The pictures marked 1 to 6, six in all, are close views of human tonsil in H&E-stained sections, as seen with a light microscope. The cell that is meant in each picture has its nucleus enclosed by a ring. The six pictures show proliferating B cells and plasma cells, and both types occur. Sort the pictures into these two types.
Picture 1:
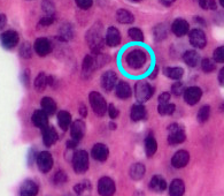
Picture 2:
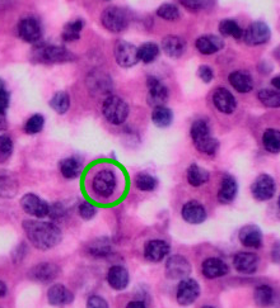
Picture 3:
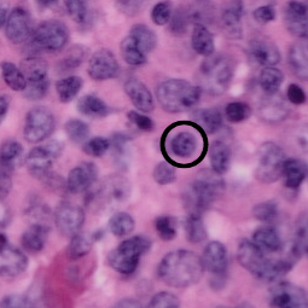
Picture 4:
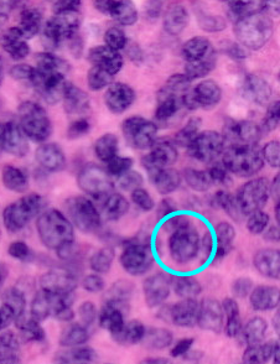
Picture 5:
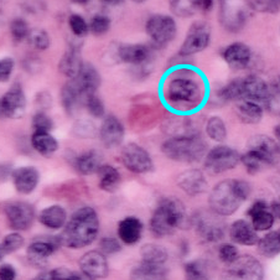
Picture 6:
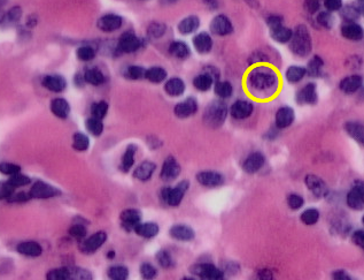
1: plasma cell
2: plasma cell
3: proliferating B cell
4: proliferating B cell
5: proliferating B cell
6: plasma cell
